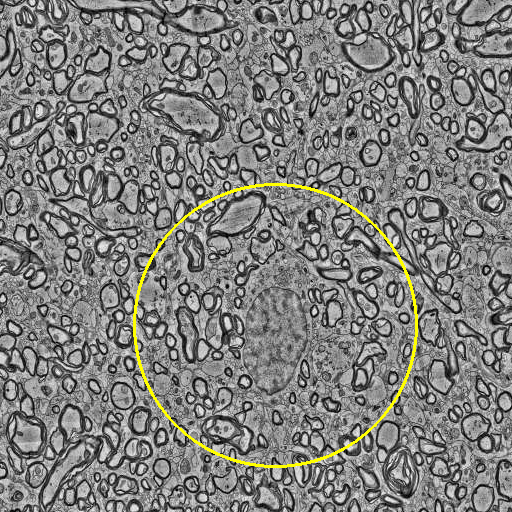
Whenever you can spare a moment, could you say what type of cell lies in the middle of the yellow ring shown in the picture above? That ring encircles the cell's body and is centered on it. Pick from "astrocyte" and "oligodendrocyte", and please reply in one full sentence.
The cell whose body sits at the middle of the yellow ring is an oligodendrocyte.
